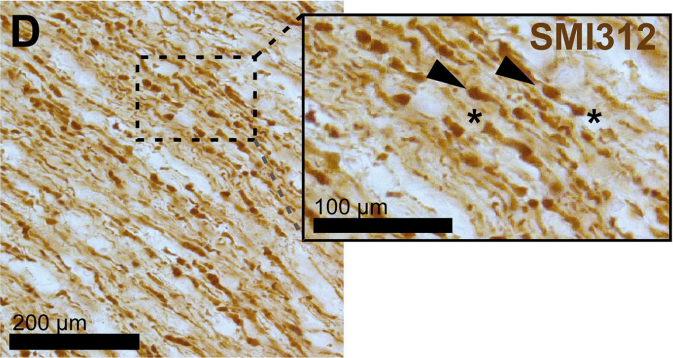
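This is white matter in which the axons are stained brown, running in loose, roughly parallel streams across the field. Many axons are not smooth threads but show rounded, bead-like swellings along their course, some much wider than the fibre beside them. In places a fibre stops abruptly, ending in such a bulb, as if cut through. Pale, unstained spaces lie between the bundles of fibres.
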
